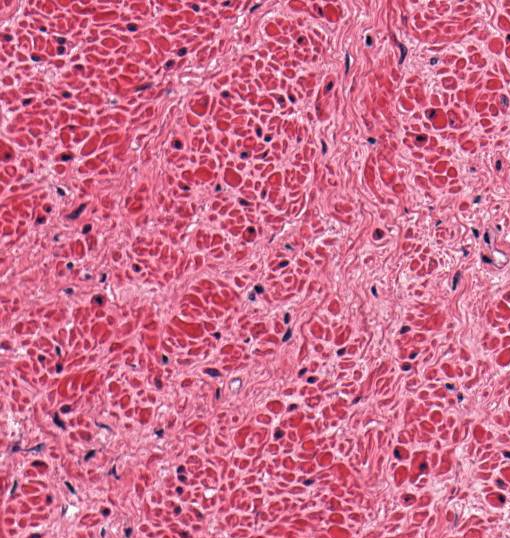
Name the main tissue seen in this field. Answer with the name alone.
fibromuscular stroma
